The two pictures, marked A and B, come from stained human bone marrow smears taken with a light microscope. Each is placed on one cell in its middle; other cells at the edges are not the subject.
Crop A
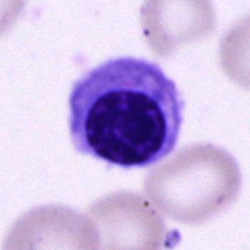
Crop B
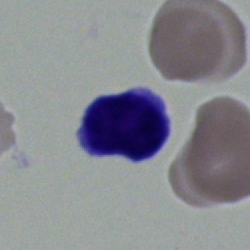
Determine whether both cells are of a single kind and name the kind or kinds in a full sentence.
No, crop A has an erythroblast at its center, and crop B has a lymphocyte.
